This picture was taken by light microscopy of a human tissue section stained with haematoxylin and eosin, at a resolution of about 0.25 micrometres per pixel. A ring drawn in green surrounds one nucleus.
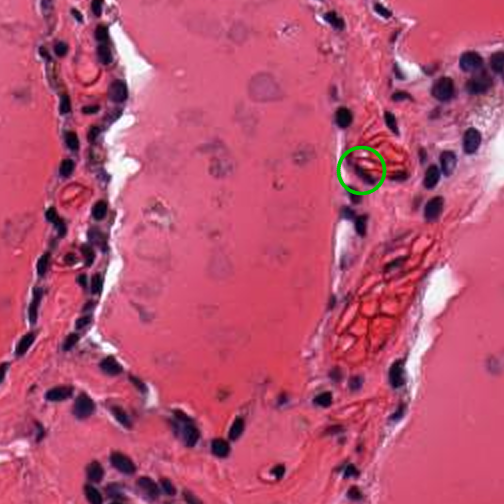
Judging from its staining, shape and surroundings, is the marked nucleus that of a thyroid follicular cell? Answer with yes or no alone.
no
